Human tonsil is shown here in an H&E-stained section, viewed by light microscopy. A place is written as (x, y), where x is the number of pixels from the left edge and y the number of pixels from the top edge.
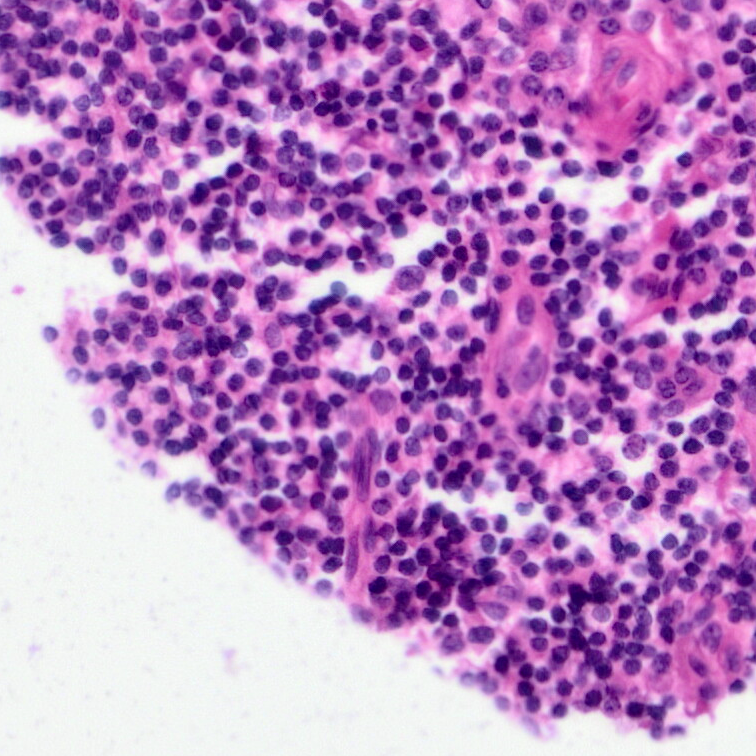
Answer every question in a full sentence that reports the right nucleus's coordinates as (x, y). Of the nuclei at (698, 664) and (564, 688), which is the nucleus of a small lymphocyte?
Out of the two, it is the nucleus at (564, 688) that belongs to a small lymphocyte.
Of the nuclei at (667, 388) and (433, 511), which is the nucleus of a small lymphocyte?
The correct choice is the nucleus at (433, 511), which belongs to a small lymphocyte.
